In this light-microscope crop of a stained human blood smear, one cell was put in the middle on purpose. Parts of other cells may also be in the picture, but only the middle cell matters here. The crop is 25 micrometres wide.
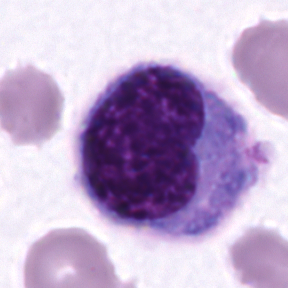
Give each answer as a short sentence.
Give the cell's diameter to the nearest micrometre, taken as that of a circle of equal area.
Taken as a circle, the cell has a diameter of about 15 micrometres.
